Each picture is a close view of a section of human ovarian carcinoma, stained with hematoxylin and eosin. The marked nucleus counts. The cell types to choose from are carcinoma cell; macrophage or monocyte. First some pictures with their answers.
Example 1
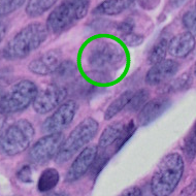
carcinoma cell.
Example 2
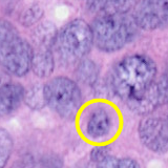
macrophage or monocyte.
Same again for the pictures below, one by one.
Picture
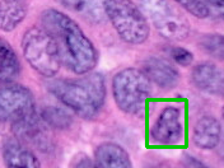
macrophage or monocyte.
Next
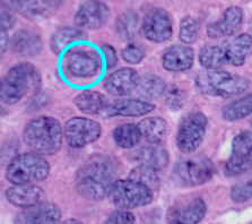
carcinoma cell.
